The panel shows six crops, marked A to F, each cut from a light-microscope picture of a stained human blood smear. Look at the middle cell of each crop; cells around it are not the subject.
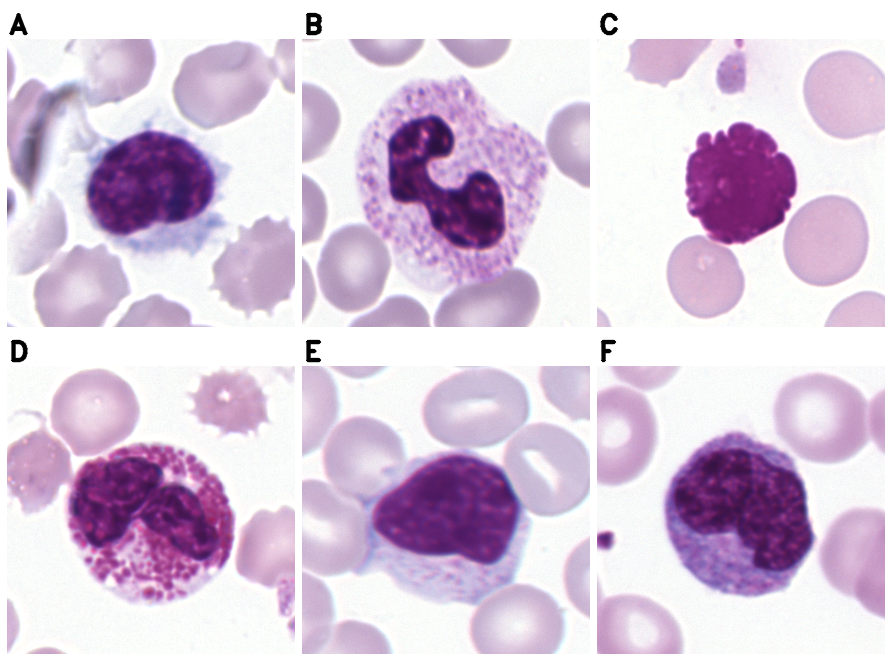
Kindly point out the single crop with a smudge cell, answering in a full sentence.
Crop C is the correct crop, and it shows a smudge cell.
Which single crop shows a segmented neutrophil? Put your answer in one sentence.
The one crop that shows a segmented neutrophil is crop B.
